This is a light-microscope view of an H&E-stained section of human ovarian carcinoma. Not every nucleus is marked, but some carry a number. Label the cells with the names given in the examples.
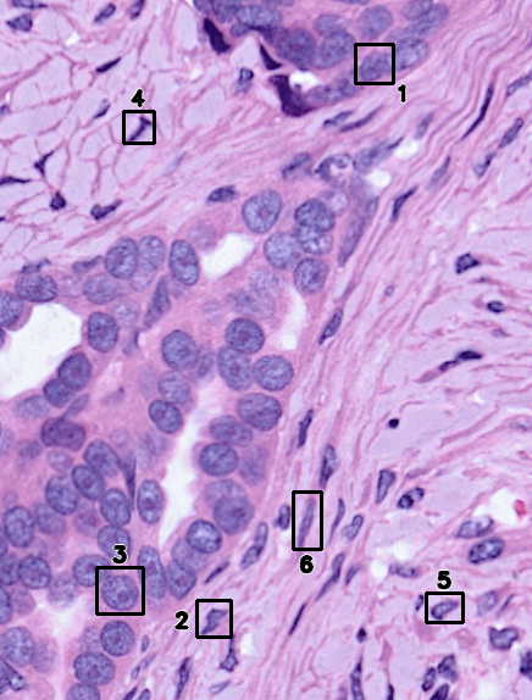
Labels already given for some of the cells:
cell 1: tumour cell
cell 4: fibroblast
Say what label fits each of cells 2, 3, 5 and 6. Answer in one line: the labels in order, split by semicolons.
fibroblast; tumour cell; fibroblast; fibroblast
